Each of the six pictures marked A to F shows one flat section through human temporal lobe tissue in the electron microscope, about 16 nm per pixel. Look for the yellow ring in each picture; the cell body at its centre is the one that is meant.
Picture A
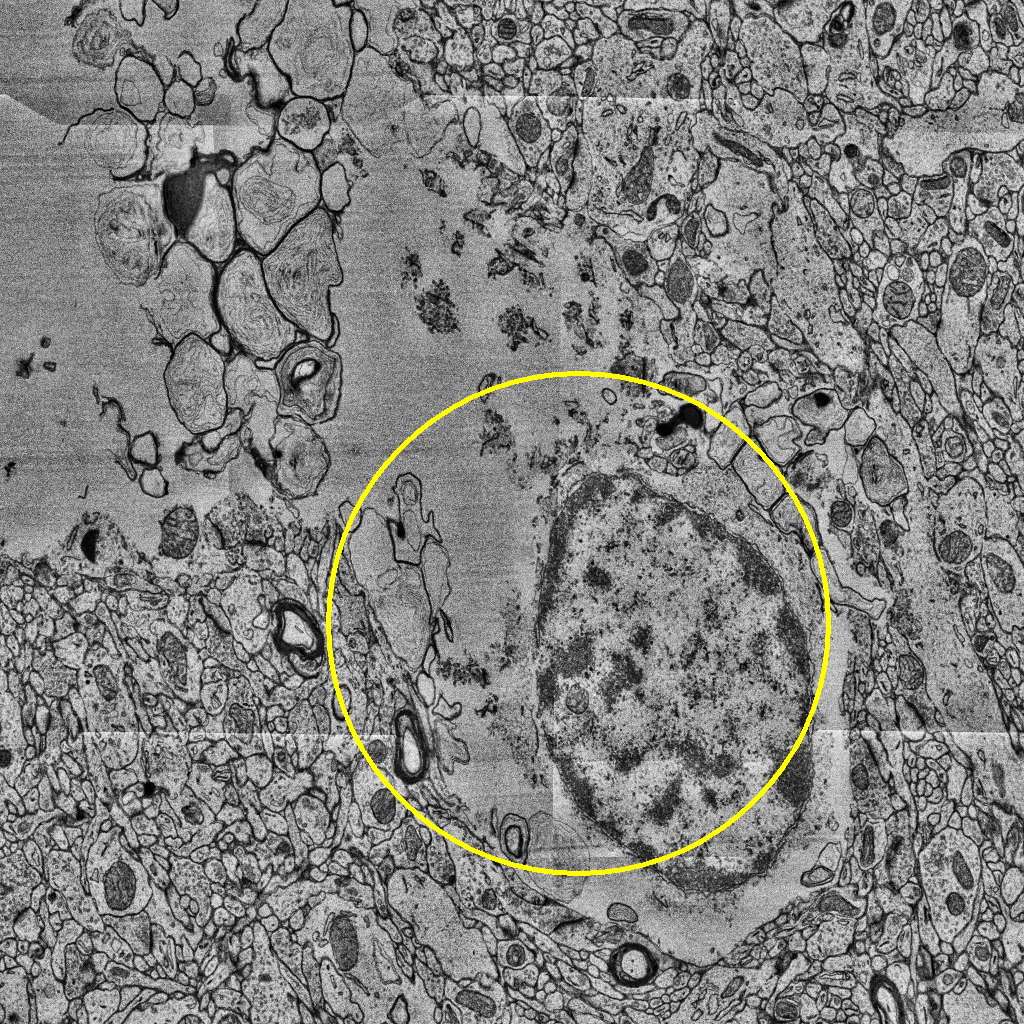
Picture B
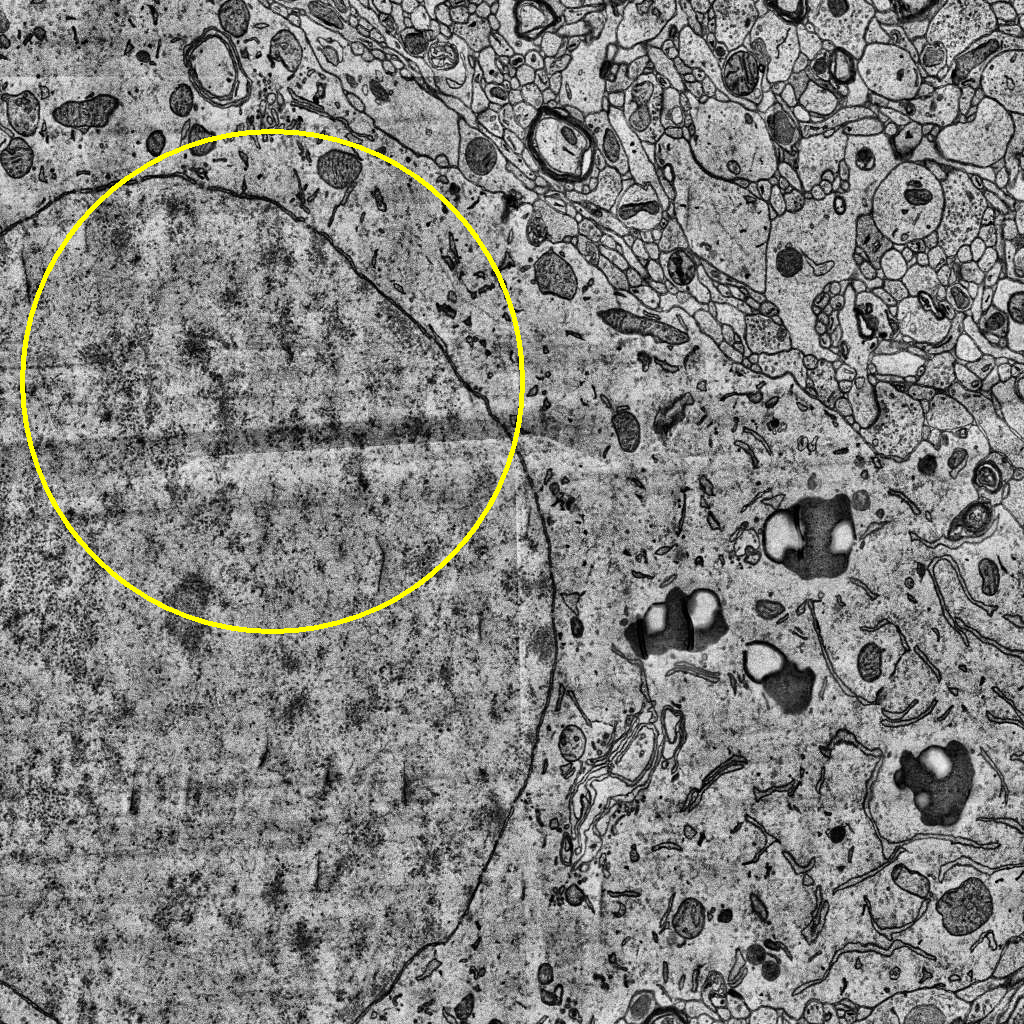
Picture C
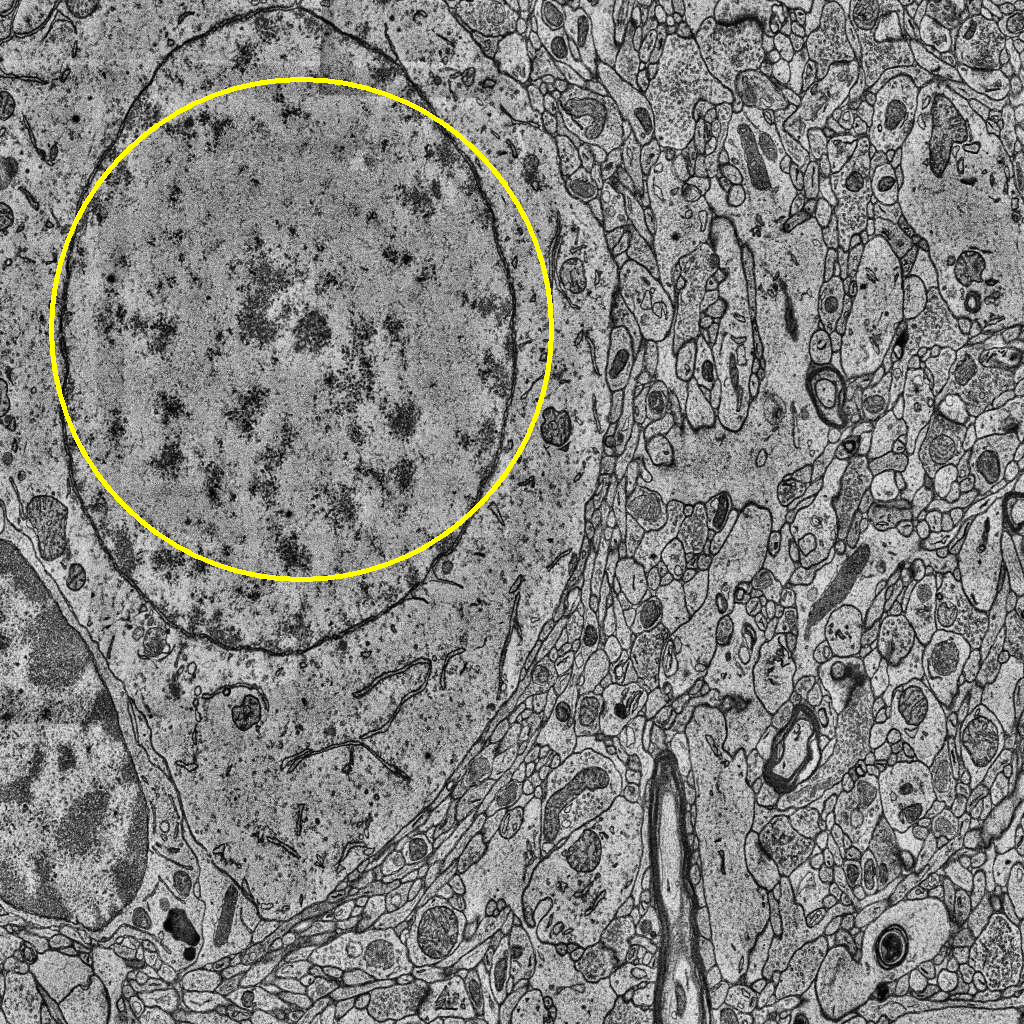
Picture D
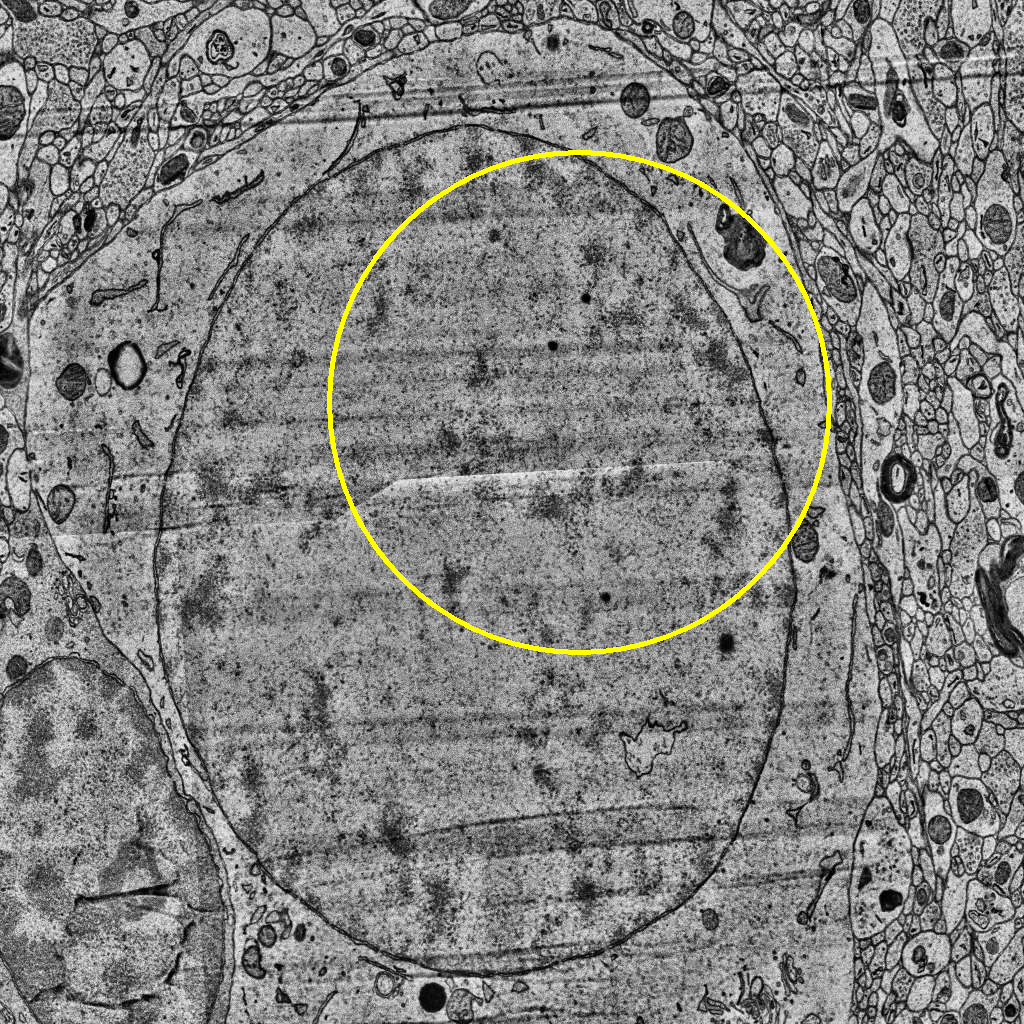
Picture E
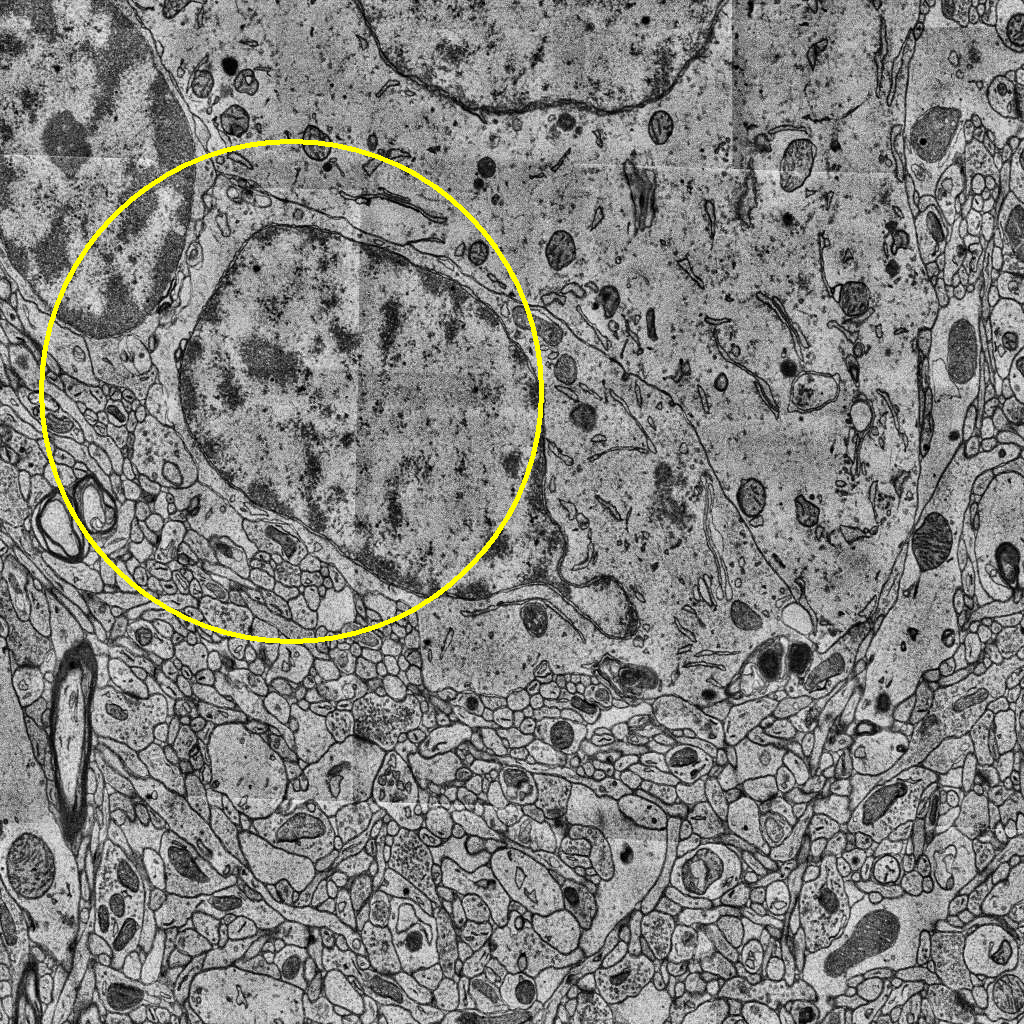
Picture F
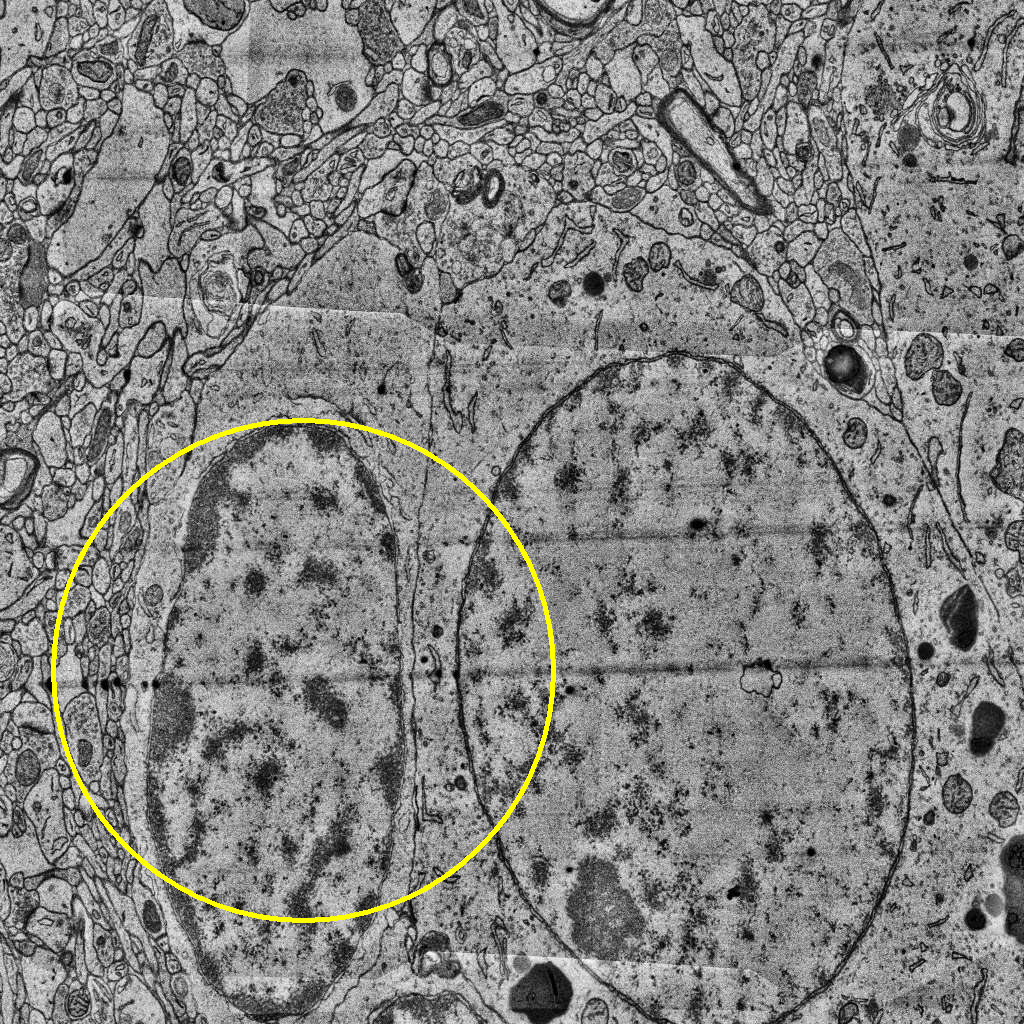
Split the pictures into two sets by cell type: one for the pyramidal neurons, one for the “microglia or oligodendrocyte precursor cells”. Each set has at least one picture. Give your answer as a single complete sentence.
Pictures B, C and D show pyramidal neurons; pictures A, E and F show “microglia or oligodendrocyte precursor cells”.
